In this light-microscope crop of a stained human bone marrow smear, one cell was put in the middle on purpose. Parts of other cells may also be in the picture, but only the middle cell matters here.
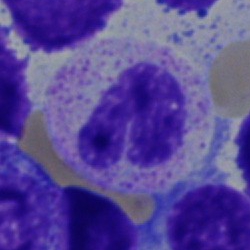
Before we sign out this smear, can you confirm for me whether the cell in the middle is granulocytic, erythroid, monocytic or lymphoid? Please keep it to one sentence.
The central cell of this crop is a member of the granulocytic line of development.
